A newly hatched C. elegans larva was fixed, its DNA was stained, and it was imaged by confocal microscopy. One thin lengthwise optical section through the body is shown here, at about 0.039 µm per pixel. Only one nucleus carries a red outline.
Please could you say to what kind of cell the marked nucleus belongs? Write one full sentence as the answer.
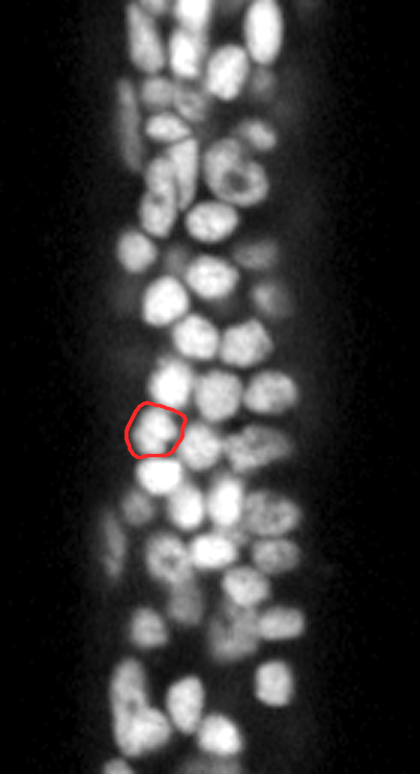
It belongs to a neuron.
